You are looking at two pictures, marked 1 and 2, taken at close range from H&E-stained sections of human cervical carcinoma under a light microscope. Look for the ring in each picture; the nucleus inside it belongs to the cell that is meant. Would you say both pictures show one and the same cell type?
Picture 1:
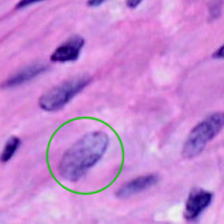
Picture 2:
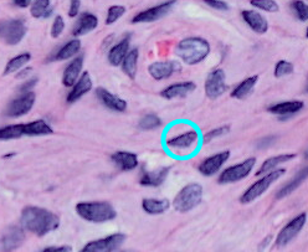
yes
